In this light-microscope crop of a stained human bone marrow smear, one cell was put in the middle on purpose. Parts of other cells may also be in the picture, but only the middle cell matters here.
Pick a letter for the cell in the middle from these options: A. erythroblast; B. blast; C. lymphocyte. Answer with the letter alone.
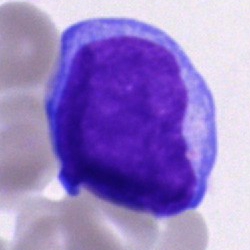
B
